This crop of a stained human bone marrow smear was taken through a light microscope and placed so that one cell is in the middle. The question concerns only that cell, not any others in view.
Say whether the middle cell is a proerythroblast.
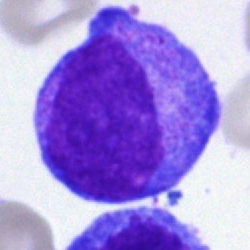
no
